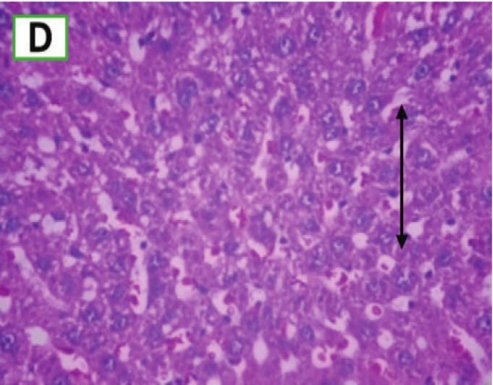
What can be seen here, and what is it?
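Liver tissue in which polygonal hepatic cells with pink to violet granular cytoplasm are arranged in closely packed cords. Each cell has a round, centrally placed, purple nucleus, and some nuclei show a small dark nucleolus. Narrow pale spaces, the sinusoids, run between the cords, and a few contain pink-red material. Occasional small clear rounded vacuoles lie within the cytoplasm of some cells, indicating a mild fatty change.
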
